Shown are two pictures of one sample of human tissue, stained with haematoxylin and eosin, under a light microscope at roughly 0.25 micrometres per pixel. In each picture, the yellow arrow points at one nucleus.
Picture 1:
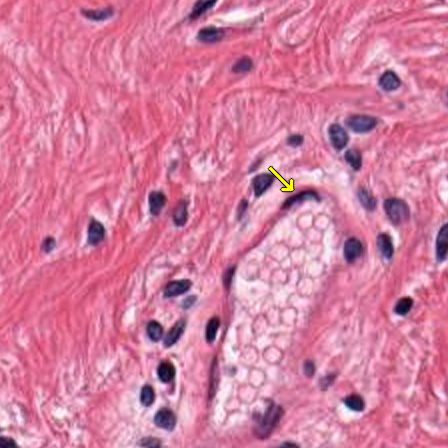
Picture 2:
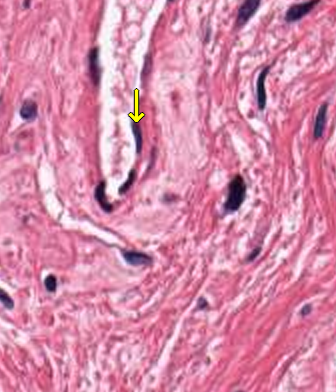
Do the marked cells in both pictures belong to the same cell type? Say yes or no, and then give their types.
Yes, both are endothelial cells.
